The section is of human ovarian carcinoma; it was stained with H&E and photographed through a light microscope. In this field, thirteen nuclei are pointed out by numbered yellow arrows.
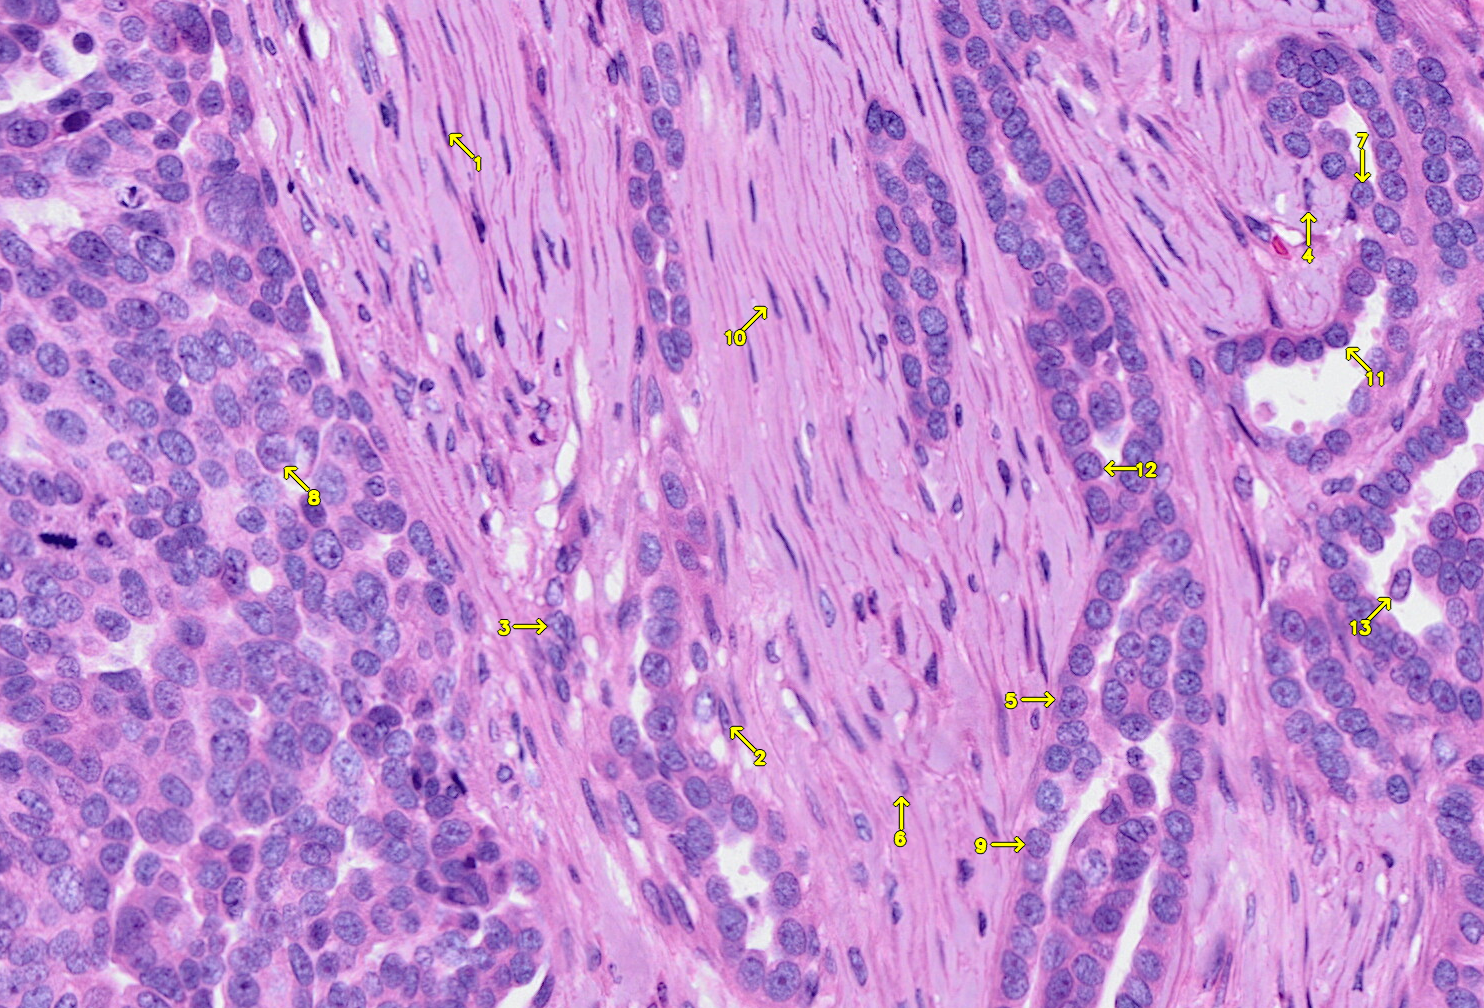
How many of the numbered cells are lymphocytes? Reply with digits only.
0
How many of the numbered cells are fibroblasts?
5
